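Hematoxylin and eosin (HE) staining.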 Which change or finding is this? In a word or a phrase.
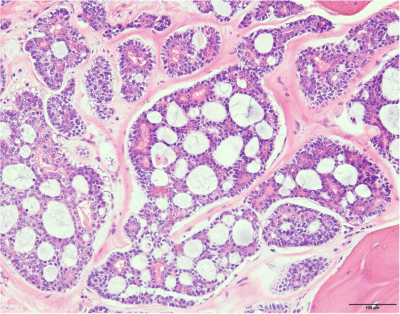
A: Cribriform pattern of adenoid cystic carcinoma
